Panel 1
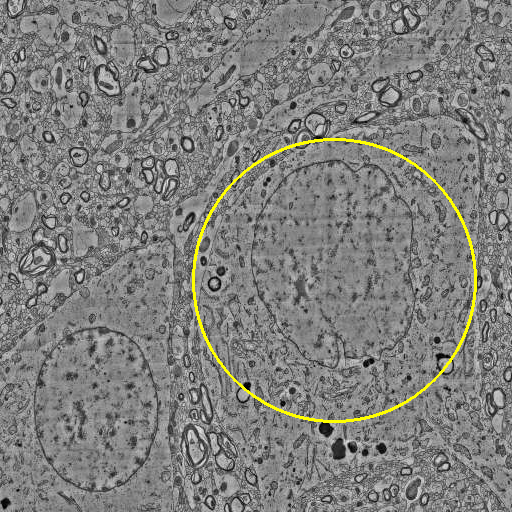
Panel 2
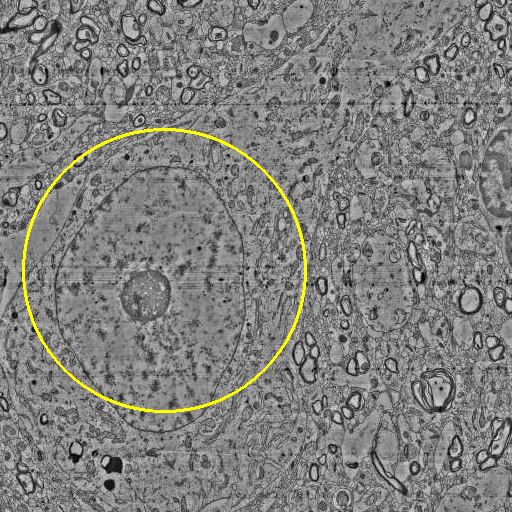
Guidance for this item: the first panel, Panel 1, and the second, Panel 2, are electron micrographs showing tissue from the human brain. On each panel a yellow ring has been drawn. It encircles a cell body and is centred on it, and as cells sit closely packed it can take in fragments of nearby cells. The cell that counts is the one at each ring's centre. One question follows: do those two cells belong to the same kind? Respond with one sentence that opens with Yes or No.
Yes, the cells at the ring centres in Panel 1 and Panel 2 are of one kind.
